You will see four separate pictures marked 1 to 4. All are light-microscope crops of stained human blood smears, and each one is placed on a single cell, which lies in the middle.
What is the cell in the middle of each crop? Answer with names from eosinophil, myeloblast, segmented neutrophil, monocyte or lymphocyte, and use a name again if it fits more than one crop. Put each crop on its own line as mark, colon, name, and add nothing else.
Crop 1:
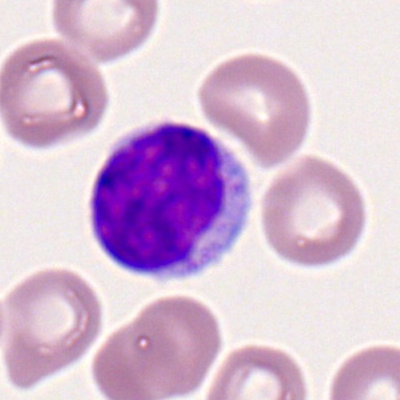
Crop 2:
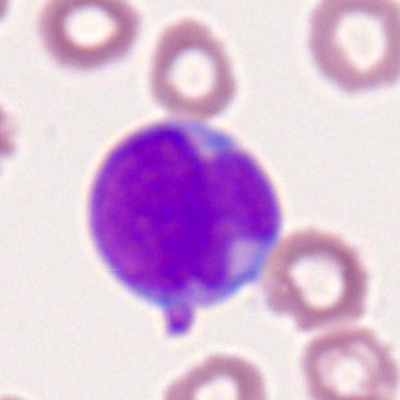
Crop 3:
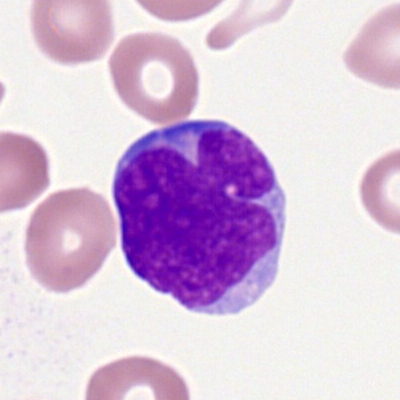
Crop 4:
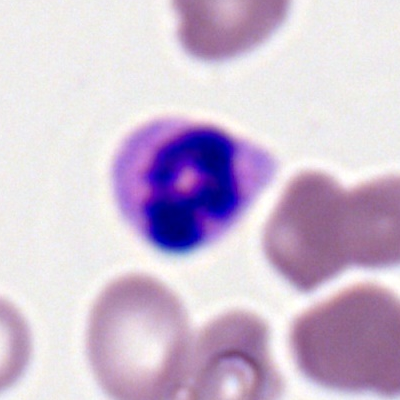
1: lymphocyte
2: myeloblast
3: myeloblast
4: segmented neutrophil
